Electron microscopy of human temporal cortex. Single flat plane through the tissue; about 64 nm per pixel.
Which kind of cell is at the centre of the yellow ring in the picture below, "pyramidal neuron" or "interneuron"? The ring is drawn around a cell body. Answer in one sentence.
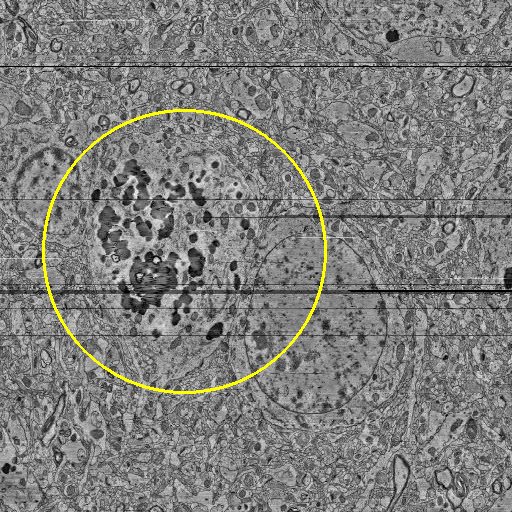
The ring's central cell is an interneuron.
